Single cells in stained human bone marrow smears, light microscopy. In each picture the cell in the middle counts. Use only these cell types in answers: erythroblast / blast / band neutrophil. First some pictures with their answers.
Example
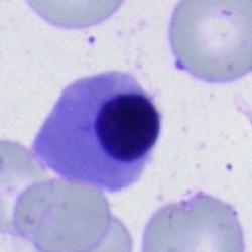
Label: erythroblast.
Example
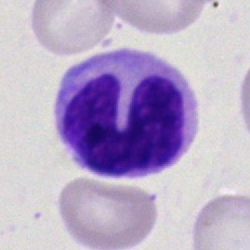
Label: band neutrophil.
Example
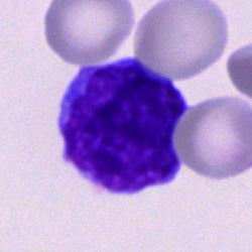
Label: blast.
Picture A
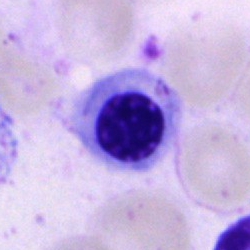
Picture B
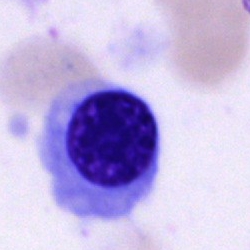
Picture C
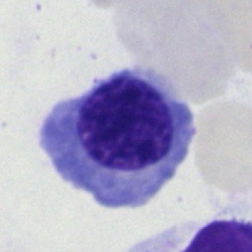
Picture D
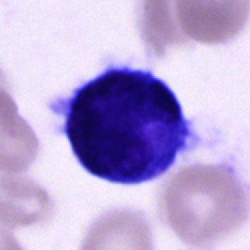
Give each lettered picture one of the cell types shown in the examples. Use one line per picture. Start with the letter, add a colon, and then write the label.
A: erythroblast.
B: erythroblast.
C: erythroblast.
D: blast.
